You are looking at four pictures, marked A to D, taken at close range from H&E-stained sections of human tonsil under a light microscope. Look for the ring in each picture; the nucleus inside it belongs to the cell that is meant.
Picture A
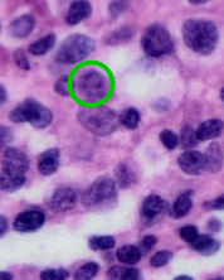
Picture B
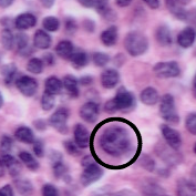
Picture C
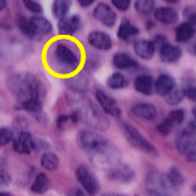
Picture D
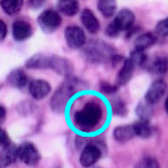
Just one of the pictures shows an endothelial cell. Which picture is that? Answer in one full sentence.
It is picture C that shows the endothelial cell.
